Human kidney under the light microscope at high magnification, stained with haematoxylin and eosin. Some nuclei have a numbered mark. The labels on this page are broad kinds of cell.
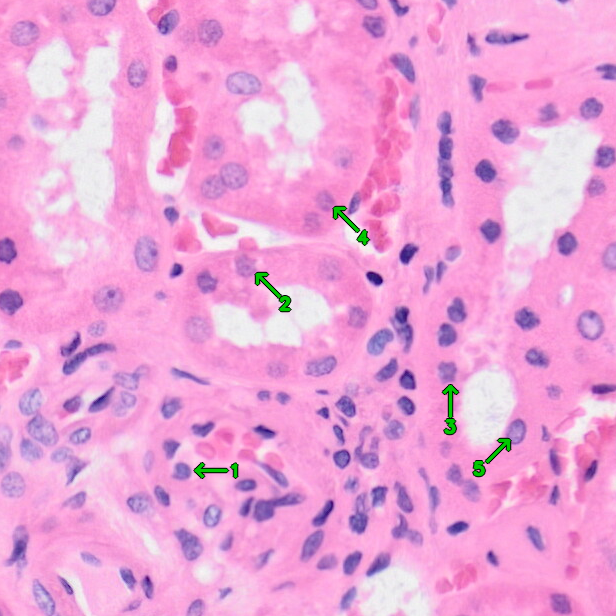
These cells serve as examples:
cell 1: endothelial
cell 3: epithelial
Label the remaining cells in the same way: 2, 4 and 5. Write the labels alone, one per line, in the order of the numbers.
epithelial
epithelial
epithelial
